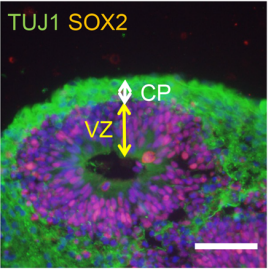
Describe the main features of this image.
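Radially arranged, densely packed nuclei, most red-pink, make up a thick inner layer, and green fibres thread between them. Outside this lies only a thin rim of green signal at the surface, with few nuclei, so the outer layer is much narrower than the inner one.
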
